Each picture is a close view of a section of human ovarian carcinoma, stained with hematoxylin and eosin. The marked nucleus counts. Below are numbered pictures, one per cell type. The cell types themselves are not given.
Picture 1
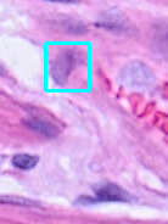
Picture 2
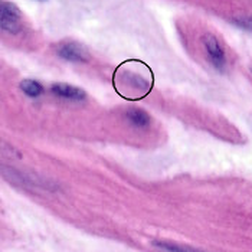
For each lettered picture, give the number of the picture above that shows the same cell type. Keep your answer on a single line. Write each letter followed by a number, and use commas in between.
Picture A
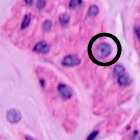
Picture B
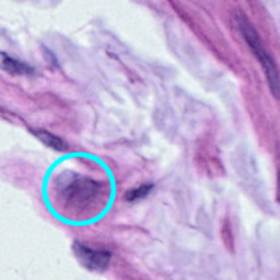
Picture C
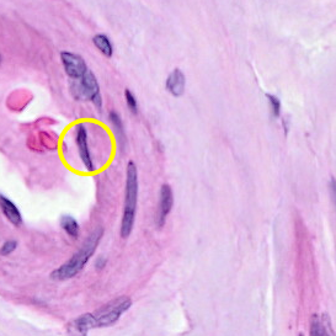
A 2, B 1, C 1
